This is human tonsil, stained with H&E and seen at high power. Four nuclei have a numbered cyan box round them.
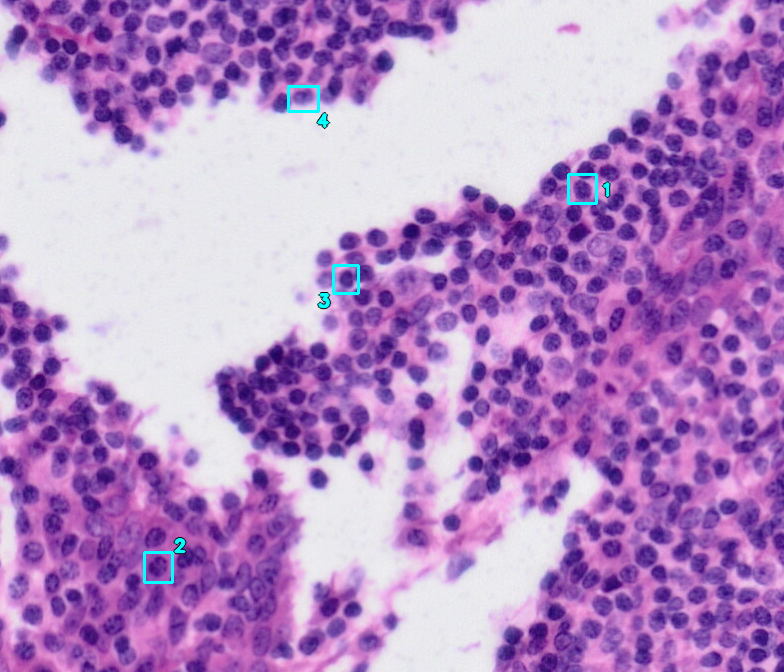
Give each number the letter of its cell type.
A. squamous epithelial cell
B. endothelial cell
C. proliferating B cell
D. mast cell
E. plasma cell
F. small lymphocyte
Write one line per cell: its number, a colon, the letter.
1: F
2: E
3: F
4: F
